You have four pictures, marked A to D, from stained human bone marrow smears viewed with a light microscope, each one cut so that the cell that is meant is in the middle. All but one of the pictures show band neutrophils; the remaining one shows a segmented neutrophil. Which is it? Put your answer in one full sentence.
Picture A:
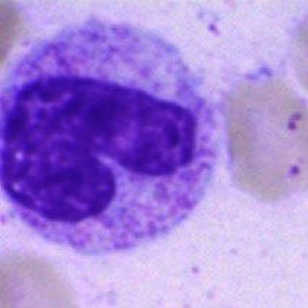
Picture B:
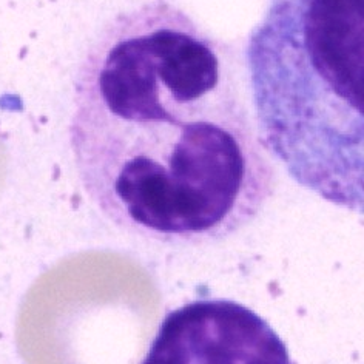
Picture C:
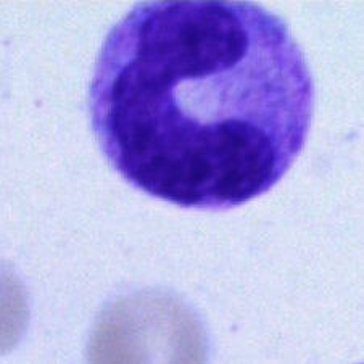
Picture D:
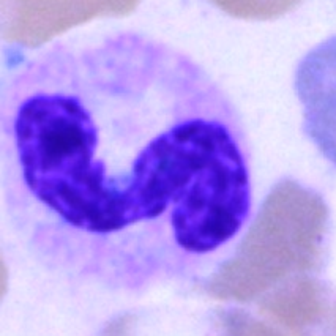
Picture B shows the segmented neutrophil.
